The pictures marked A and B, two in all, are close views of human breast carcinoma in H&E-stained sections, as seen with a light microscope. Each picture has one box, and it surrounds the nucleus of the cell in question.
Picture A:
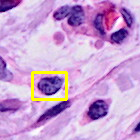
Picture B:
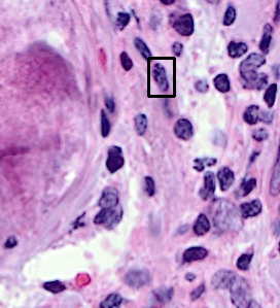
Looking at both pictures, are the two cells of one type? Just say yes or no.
no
